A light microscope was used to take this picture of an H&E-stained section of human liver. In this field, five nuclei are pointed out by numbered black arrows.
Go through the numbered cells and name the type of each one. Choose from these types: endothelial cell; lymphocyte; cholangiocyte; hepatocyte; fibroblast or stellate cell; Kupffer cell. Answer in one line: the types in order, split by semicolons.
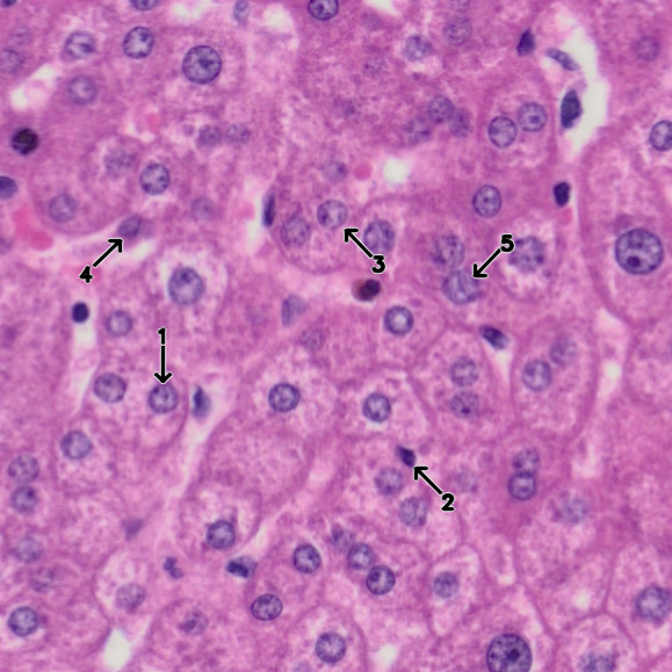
hepatocyte; fibroblast or stellate cell; hepatocyte; Kupffer cell; hepatocyte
